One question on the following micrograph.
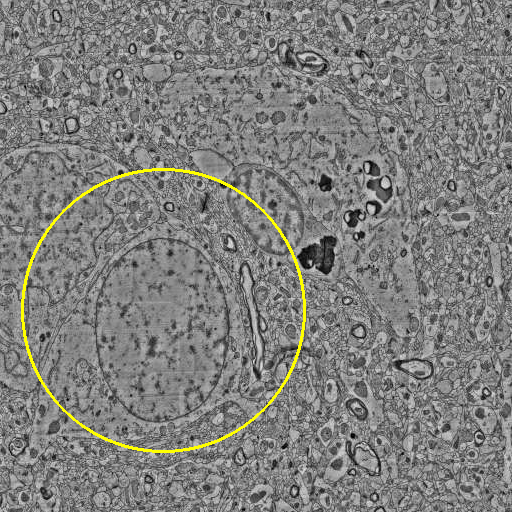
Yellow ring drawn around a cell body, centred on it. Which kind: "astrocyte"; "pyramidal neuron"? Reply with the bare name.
pyramidal neuron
